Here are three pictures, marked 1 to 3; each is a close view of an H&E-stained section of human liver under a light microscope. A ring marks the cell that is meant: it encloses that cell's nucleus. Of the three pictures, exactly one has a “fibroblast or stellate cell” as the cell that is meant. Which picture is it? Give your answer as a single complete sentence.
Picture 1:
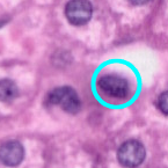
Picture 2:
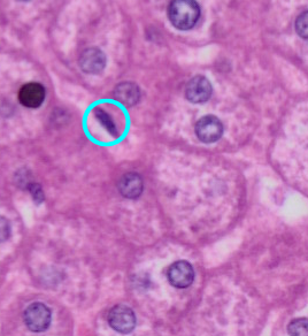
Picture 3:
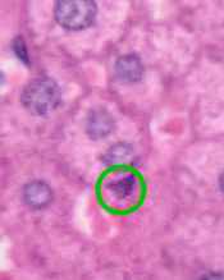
The picture with the “fibroblast or stellate cell” is 3.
